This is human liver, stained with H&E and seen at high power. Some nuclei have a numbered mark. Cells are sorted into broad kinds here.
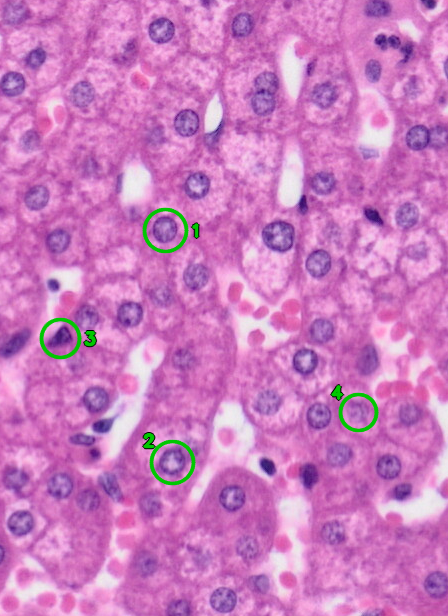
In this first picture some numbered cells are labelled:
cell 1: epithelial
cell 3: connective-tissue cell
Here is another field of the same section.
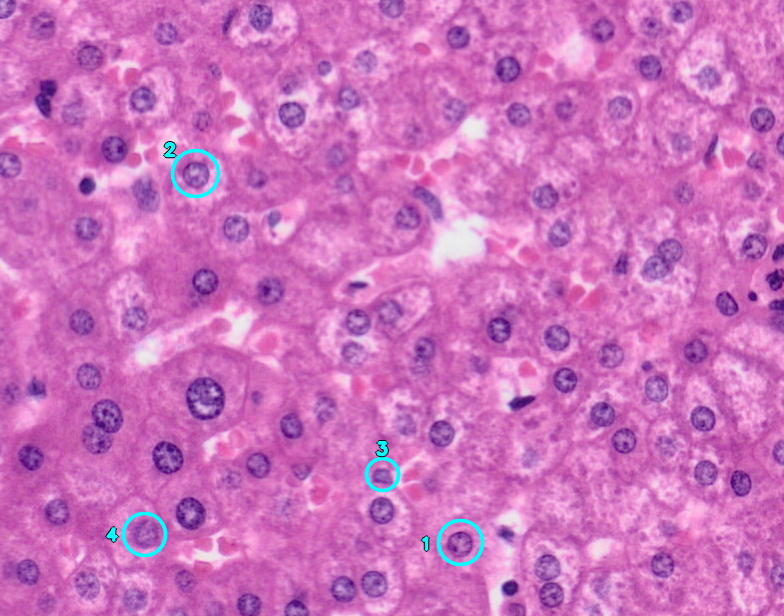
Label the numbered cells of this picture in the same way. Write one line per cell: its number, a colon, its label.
1: epithelial
2: epithelial
3: connective-tissue cell
4: epithelial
